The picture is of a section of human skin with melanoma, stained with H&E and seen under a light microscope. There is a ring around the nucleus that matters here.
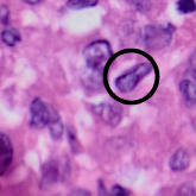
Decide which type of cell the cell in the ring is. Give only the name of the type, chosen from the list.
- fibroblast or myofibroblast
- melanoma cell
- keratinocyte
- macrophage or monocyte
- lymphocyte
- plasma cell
macrophage or monocyte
